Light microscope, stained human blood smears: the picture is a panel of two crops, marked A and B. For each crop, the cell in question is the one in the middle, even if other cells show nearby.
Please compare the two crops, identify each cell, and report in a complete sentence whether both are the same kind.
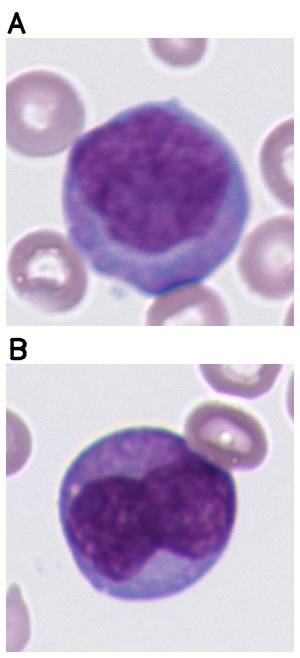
Yes, atypical promyelocytes are depicted in both crops.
